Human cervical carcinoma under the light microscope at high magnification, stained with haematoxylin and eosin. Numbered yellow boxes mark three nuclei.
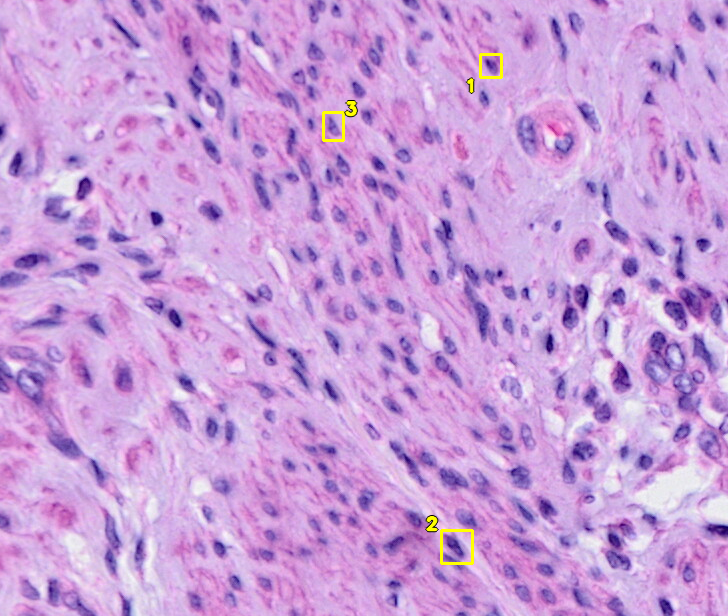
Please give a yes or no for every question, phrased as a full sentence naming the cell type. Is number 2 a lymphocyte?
Yes, among the marked cells, the one with number 2 is a lymphocyte.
